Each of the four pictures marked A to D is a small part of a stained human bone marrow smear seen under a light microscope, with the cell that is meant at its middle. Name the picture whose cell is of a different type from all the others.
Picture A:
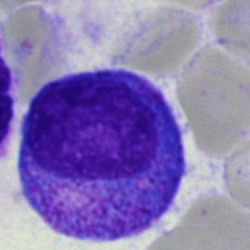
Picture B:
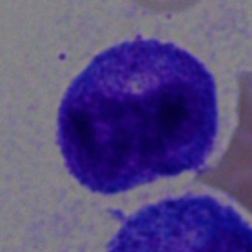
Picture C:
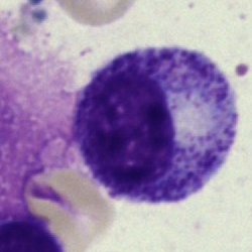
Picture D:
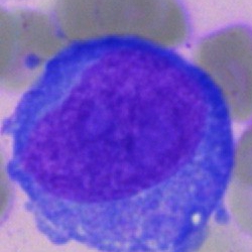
D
